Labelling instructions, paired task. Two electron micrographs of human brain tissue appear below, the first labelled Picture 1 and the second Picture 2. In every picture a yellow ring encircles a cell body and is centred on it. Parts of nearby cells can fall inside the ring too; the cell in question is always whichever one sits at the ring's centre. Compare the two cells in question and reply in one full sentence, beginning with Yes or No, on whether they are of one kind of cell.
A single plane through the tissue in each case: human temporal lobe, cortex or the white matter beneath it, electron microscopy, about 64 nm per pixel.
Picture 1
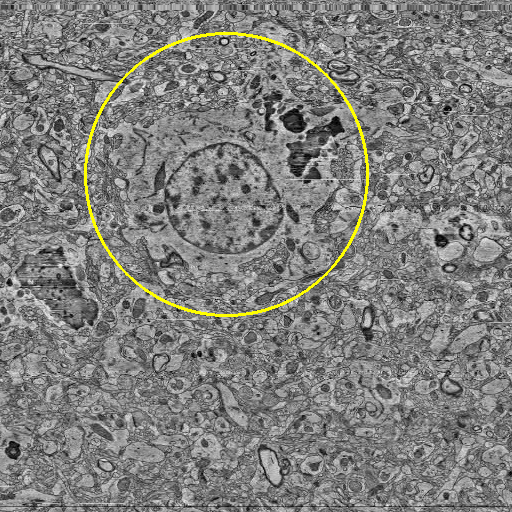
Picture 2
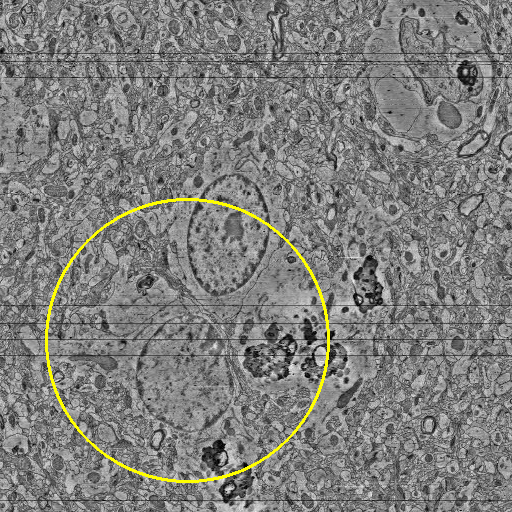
Yes, the two cells at the ring centres in Picture 1 and Picture 2 are of one kind.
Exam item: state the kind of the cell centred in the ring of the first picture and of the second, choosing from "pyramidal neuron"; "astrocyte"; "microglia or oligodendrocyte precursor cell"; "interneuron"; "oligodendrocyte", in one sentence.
In each picture the ringed cell is an astrocyte.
